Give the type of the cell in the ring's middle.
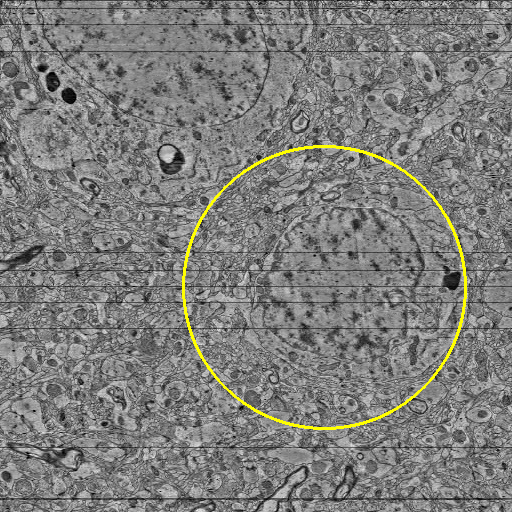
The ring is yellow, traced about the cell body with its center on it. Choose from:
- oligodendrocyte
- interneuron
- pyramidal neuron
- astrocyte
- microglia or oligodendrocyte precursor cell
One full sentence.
Here, an interneuron is the cell lying at the center of the yellow ring.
